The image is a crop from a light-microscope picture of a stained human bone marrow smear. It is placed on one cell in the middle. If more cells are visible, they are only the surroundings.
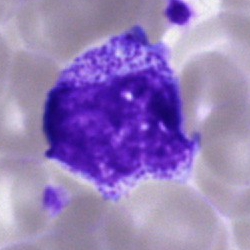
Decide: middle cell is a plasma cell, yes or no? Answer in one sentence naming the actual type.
No, the cell located centrally is a myelocyte rather than a plasma cell.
